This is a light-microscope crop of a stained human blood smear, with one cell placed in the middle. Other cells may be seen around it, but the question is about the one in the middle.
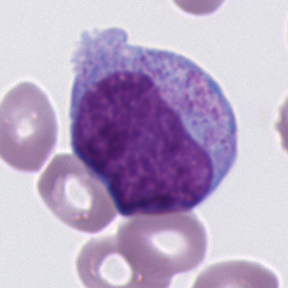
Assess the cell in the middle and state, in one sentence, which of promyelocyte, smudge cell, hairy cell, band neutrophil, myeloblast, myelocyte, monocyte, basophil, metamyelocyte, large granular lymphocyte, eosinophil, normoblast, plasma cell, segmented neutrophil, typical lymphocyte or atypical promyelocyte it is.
This crop's central cell is an atypical promyelocyte.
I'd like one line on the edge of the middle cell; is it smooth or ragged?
The boundary of the cell runs irregularly, ragged in parts or drawn into projections.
